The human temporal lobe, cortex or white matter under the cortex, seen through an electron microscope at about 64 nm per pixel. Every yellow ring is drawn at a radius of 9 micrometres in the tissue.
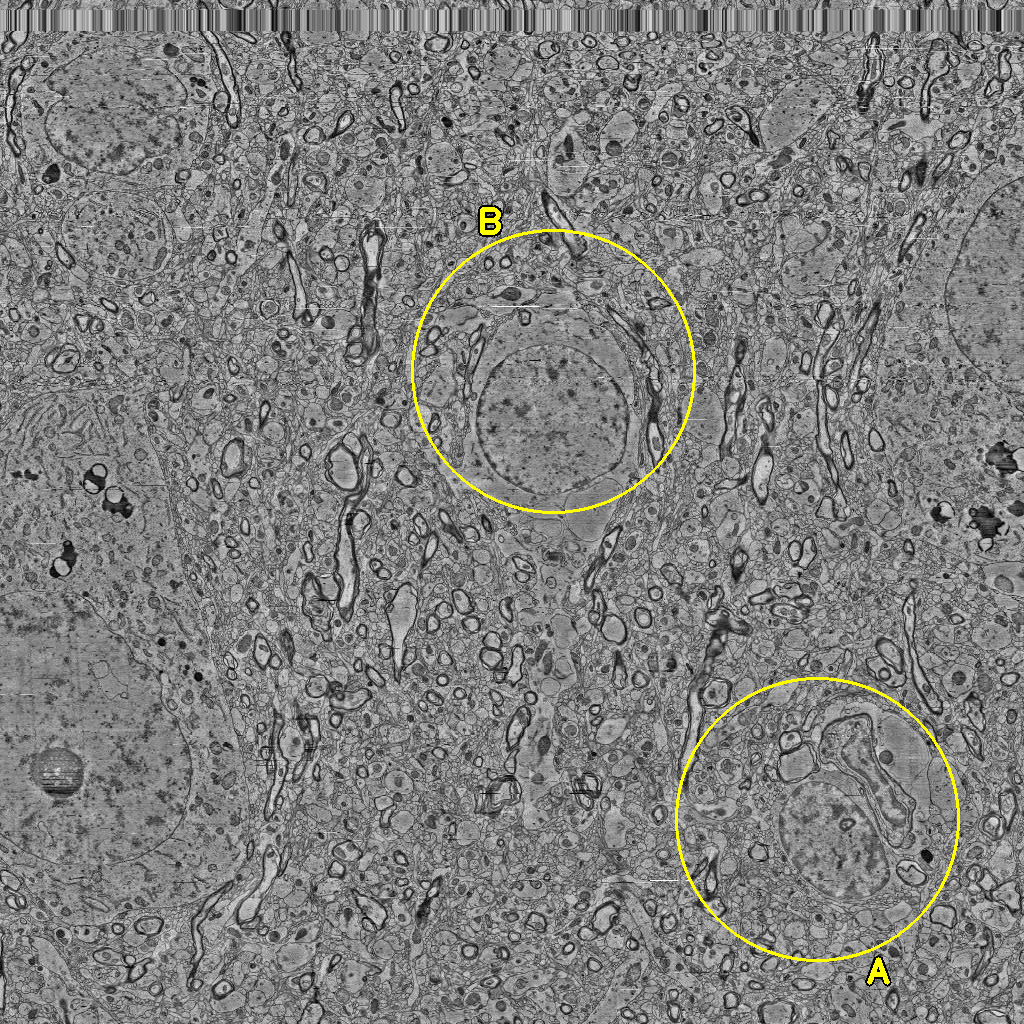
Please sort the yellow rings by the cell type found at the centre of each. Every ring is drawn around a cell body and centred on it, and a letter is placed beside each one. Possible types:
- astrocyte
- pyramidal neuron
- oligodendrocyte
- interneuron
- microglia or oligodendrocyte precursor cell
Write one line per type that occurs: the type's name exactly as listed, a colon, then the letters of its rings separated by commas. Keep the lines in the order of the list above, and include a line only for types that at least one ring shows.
astrocyte: B
oligodendrocyte: A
